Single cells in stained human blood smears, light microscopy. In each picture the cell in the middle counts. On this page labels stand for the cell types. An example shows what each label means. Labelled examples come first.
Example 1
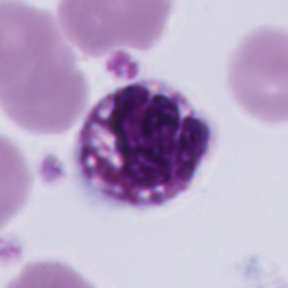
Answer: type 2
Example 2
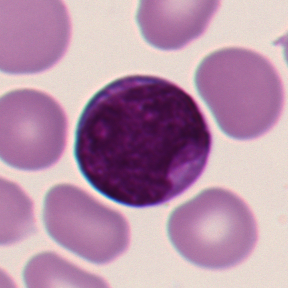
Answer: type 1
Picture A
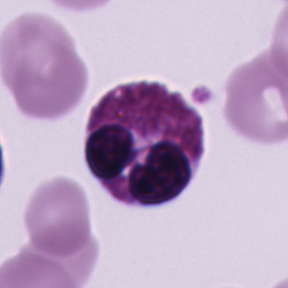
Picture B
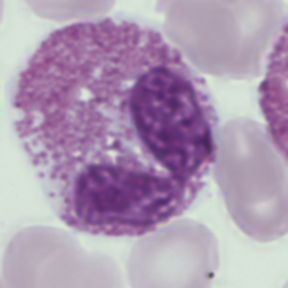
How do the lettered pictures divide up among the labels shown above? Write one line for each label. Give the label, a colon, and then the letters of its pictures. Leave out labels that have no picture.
type 2: A, B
